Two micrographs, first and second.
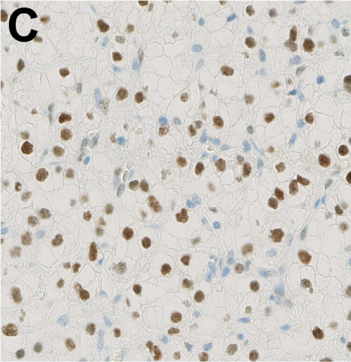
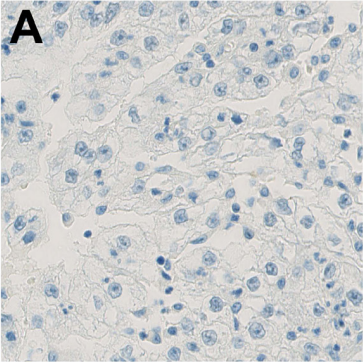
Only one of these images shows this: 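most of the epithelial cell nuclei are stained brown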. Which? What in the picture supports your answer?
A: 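The first image. First image: many round nuclei of the clear cells are dark brown. Second image: all nuclei are blue, with no brown staining.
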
